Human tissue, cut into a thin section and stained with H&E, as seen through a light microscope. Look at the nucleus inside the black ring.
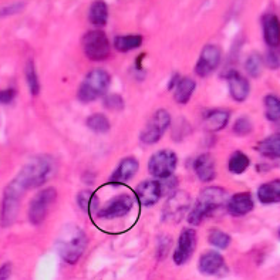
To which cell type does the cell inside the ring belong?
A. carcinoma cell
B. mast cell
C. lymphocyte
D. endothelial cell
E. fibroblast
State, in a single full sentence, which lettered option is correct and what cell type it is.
In this case the cell inside the ring is a lymphocyte, so option C is correct.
